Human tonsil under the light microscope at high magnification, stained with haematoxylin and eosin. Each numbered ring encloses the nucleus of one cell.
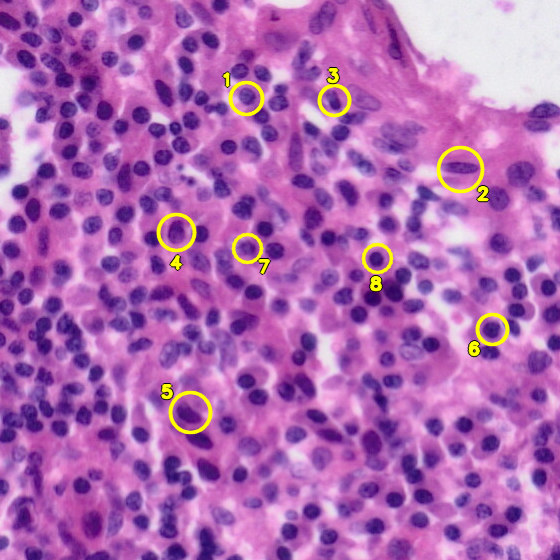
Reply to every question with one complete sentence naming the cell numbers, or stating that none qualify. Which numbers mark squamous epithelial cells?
The cells numbered 2, 3 and 5 are typed as squamous epithelial cells.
